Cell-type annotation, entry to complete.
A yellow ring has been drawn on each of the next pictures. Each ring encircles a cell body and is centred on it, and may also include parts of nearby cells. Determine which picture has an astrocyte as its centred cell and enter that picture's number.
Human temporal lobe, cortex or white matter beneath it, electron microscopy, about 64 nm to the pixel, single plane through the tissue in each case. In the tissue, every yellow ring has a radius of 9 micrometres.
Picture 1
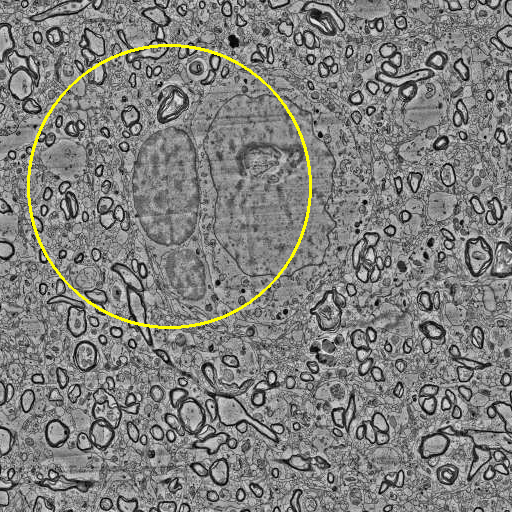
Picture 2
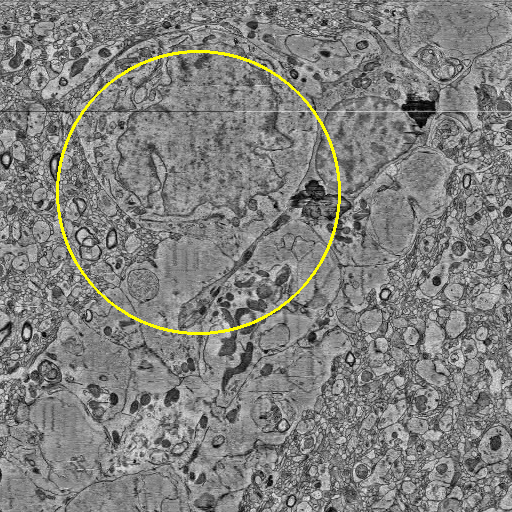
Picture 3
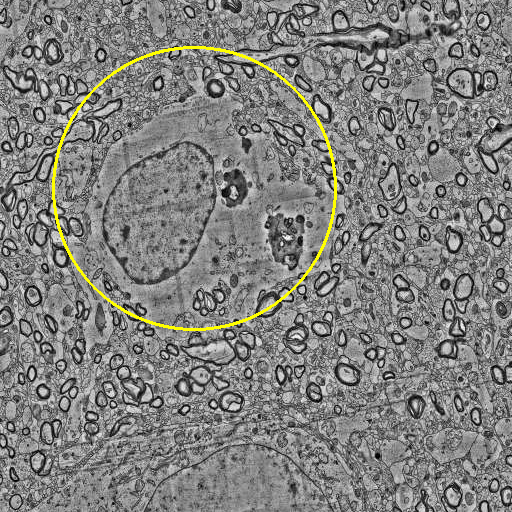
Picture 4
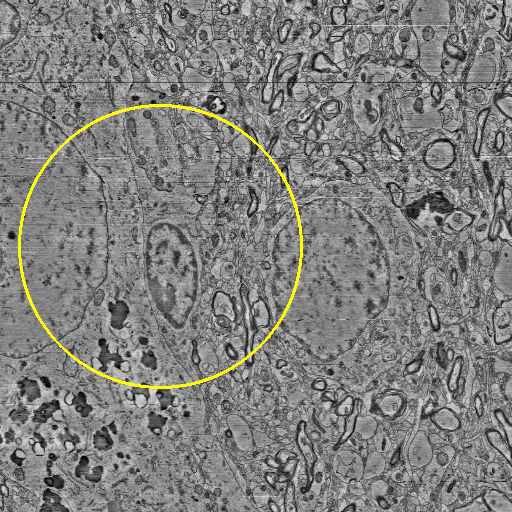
3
